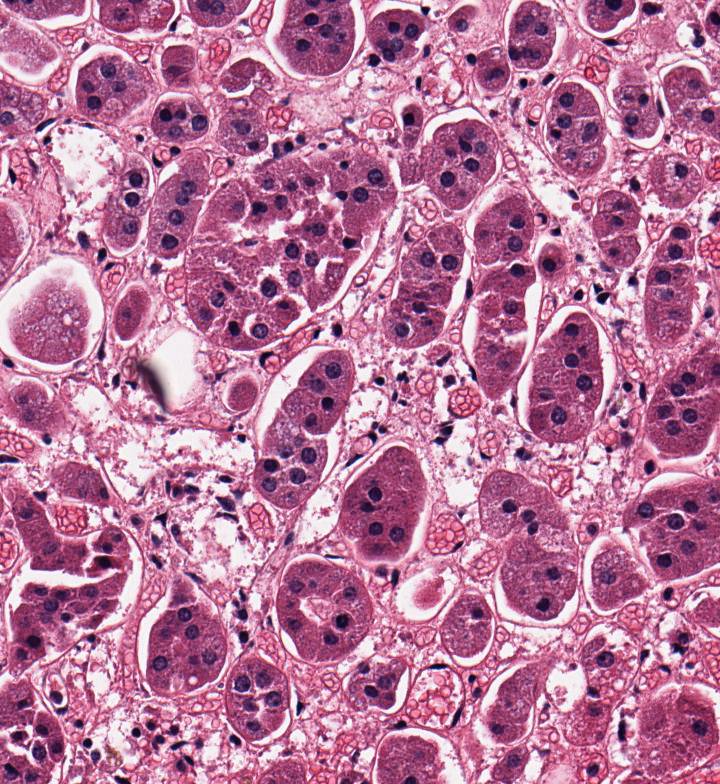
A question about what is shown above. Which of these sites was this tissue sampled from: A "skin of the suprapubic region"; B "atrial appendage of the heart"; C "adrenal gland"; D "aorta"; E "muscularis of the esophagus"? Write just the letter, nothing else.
C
